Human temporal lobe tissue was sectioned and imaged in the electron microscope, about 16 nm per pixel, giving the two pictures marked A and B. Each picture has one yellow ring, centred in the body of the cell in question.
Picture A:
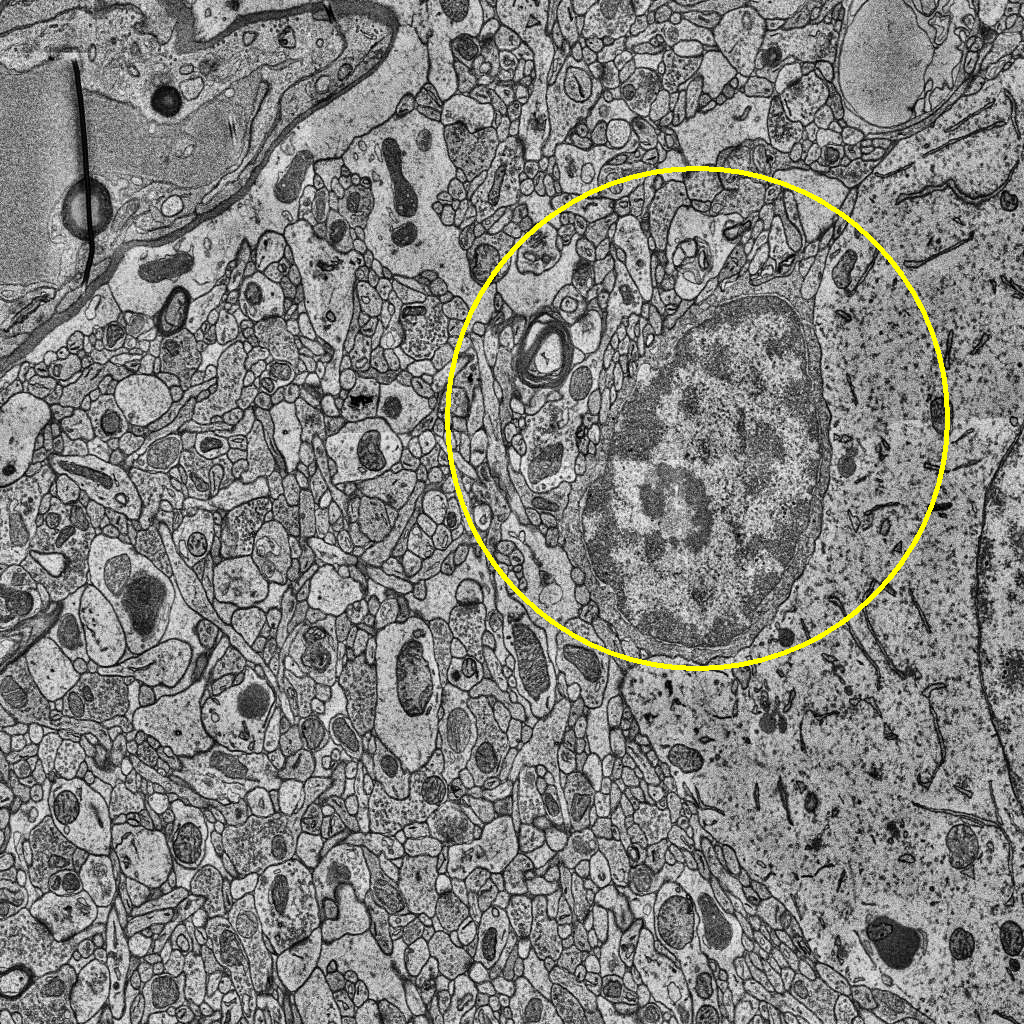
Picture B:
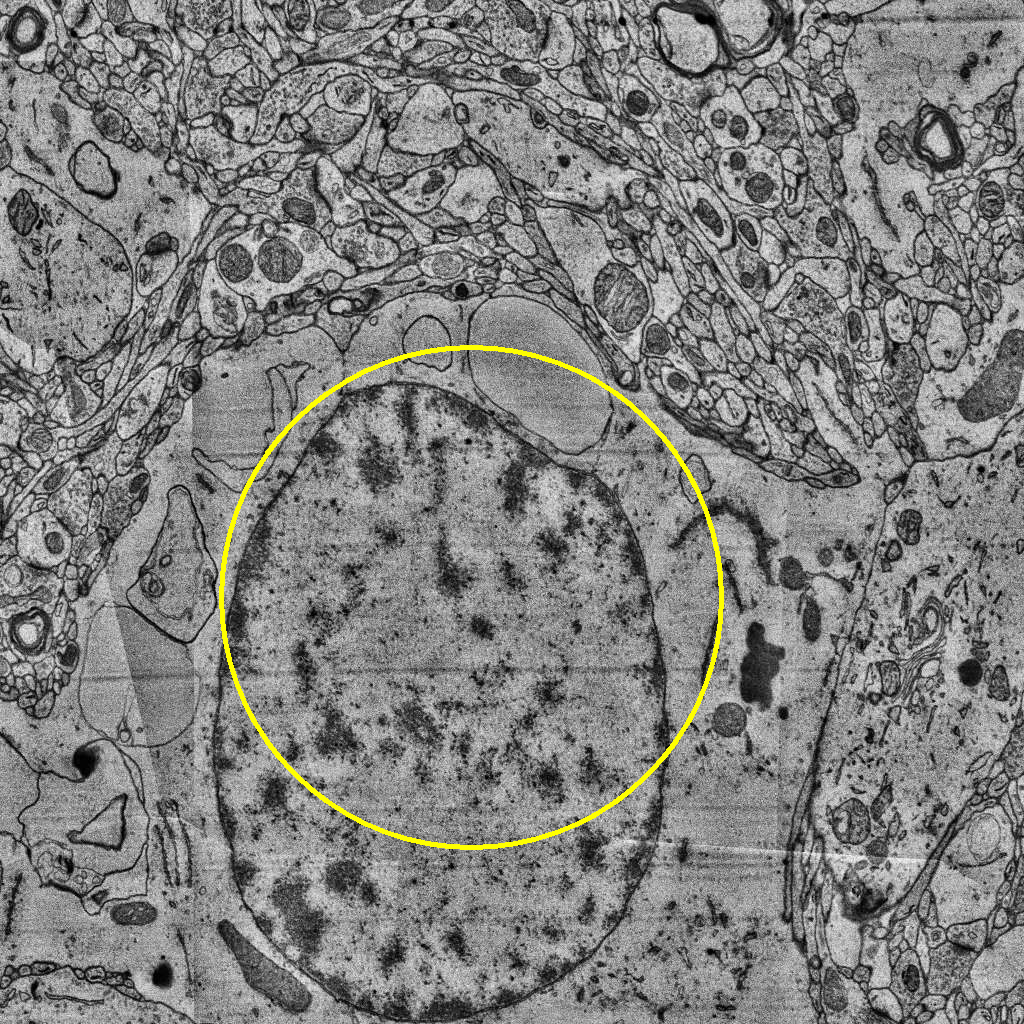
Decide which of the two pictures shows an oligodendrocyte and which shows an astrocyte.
Picture A is of an oligodendrocyte, and picture B is of an astrocyte.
